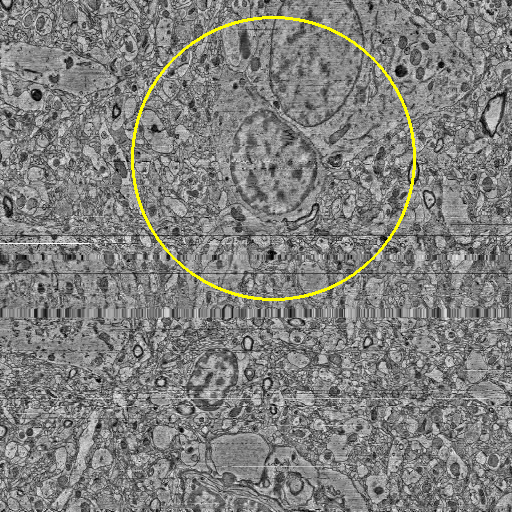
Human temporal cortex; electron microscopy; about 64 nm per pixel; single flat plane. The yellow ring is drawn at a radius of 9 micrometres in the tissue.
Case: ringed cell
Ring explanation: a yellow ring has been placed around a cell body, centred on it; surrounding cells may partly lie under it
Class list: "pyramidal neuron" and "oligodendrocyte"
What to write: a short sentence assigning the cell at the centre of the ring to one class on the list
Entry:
The cell at the ring's centre is an oligodendrocyte.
